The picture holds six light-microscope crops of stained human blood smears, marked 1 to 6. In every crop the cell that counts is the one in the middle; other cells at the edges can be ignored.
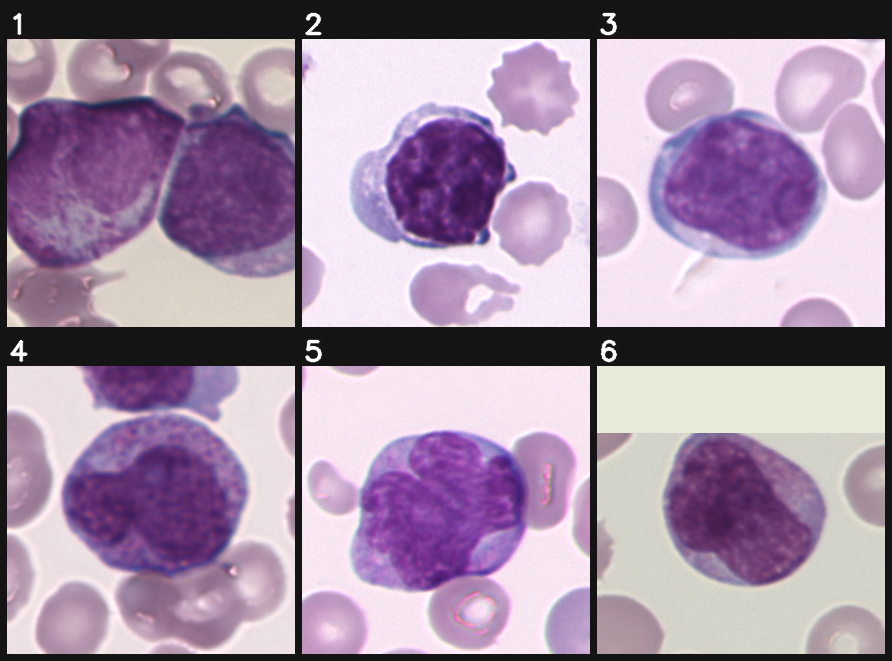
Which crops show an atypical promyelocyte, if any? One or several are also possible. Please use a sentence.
The centred cells of crops 1, 4, 5 and 6 are atypical promyelocytes.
